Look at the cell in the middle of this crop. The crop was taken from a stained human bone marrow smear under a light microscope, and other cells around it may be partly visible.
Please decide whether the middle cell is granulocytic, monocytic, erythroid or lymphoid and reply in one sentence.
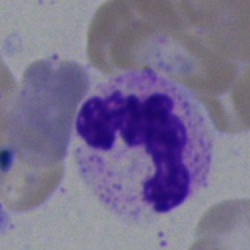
The cell held in the center of the crop belongs to the granulocytic lineage.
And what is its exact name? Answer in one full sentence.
Located at the centre of the crop is a segmented neutrophil.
